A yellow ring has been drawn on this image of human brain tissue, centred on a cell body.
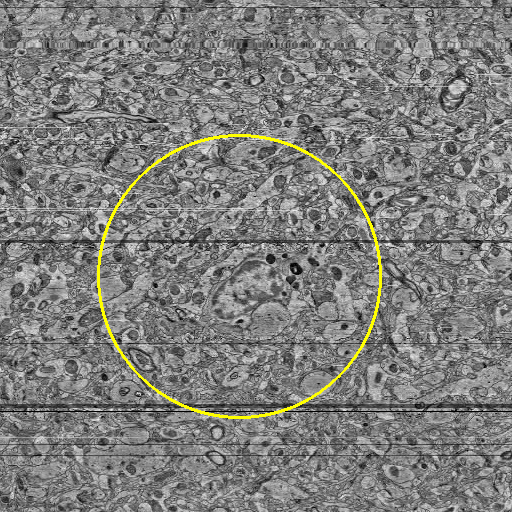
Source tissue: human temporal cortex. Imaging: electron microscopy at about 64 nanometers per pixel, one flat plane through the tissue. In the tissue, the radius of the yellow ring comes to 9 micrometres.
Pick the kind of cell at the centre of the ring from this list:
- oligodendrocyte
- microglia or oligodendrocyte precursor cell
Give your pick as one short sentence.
The centre of the ring holds a microglial cell or oligodendrocyte precursor cell.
